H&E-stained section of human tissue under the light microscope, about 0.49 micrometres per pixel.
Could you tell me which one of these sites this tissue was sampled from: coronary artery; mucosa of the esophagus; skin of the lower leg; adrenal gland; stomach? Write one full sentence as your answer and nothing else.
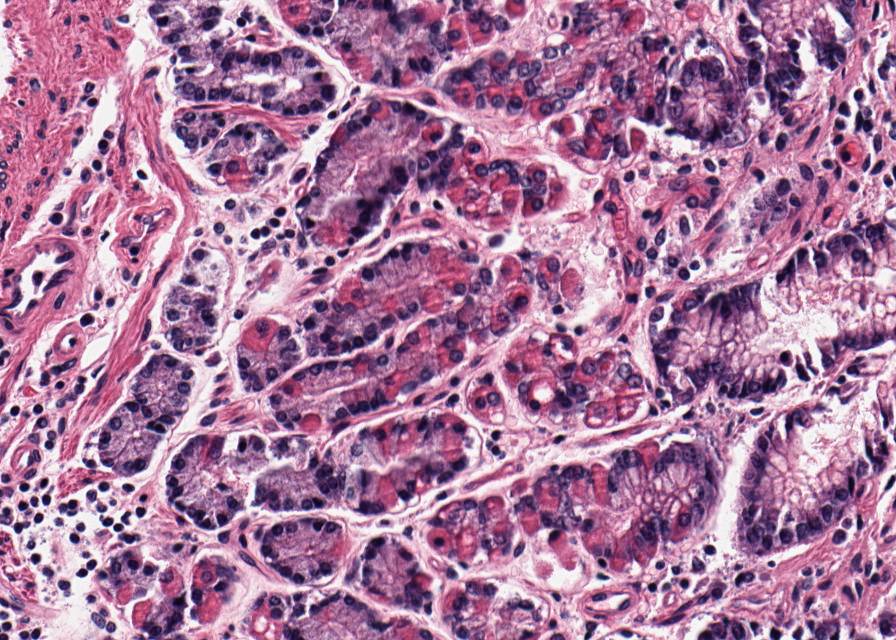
From the stomach this tissue was sampled.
